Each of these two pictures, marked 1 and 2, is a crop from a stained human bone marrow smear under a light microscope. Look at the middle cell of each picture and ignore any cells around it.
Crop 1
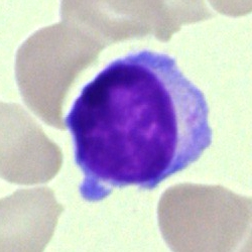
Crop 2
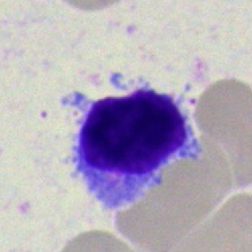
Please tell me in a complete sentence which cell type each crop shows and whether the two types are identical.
Yes, with regard to both crops, the central cells are lymphocytes.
